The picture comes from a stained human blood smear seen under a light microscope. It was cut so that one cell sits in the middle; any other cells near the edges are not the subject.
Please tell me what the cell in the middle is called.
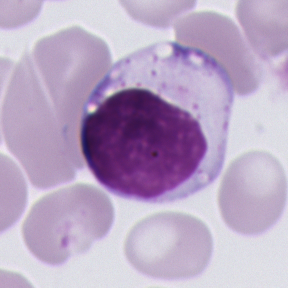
large granular lymphocyte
